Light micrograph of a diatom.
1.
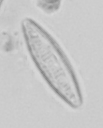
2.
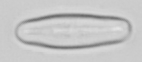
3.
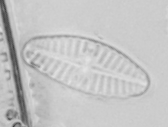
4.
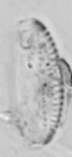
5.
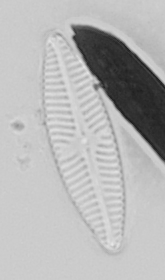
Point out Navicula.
That is picture 5.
